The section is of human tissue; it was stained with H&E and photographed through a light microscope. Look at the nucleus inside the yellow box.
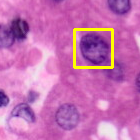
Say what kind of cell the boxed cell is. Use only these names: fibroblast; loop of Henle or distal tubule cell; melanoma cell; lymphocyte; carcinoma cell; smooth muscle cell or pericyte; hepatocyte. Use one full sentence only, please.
In terms of identity, the boxed cell is a hepatocyte.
